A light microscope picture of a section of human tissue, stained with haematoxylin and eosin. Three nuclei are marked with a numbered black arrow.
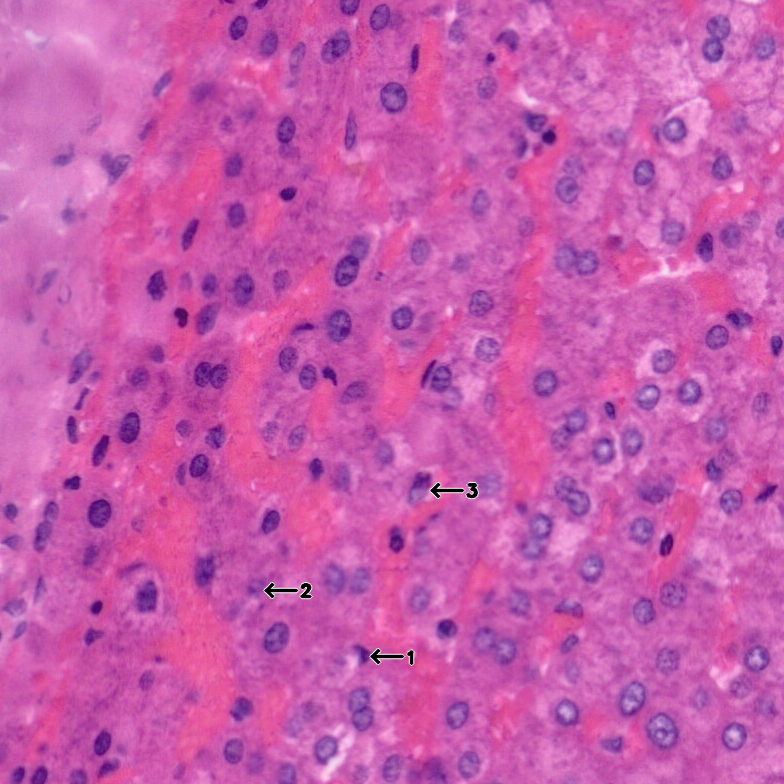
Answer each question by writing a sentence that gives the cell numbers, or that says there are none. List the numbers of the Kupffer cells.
Of the cells carrying numbers, just cell 3 is a Kupffer cell.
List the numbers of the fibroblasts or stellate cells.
Only the cell at mark 1 is a fibroblast or stellate cell, and no other marked cell is.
